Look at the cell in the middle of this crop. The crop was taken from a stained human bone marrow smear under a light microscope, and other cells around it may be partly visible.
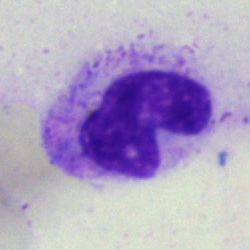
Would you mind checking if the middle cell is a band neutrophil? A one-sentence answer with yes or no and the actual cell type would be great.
Yes, the cell shown at the crop's centre is a band neutrophil.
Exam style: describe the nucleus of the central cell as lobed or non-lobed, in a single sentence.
The nucleus holds together as a single compact mass, round, oval or kidney-like.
